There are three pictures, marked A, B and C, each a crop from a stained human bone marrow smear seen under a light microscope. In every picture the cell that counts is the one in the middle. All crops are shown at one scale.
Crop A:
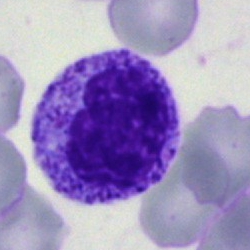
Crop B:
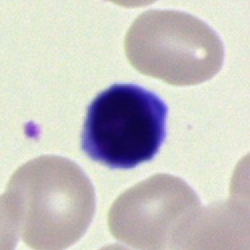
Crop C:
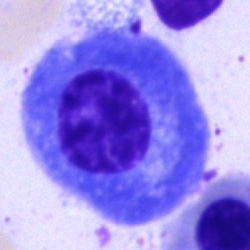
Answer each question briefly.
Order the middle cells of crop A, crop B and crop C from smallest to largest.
B, A, C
